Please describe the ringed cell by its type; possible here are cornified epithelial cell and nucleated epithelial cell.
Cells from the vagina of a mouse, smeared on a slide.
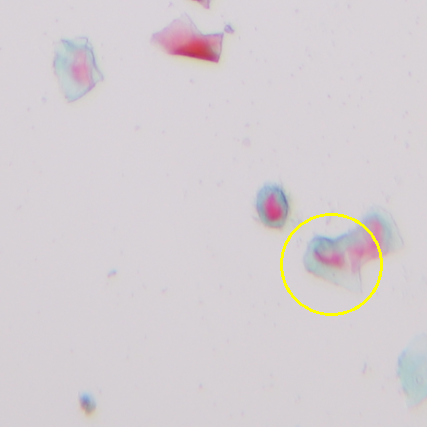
The yellow ring marks a nucleated epithelial cell.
